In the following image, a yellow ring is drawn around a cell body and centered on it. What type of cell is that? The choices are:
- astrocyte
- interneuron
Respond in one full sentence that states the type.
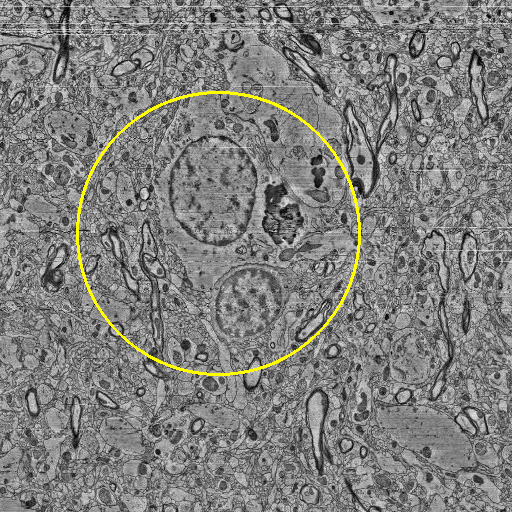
The cell at the center of the yellow ring in the image is an astrocyte.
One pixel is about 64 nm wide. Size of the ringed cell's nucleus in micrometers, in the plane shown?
About 7 by 6 micrometers for the nucleus, in this plane.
